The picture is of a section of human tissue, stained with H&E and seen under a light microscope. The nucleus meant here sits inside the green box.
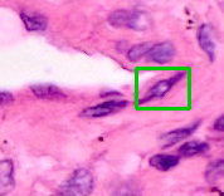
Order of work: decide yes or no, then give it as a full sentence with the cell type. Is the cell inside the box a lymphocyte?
No, within this section, the cell inside the box is categorized as a smooth muscle cell or pericyte rather than a lymphocyte.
